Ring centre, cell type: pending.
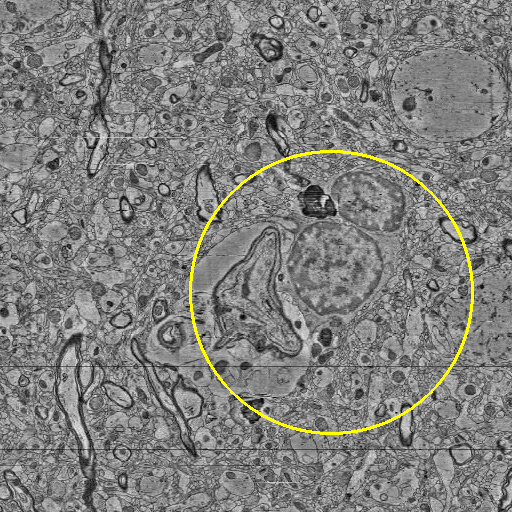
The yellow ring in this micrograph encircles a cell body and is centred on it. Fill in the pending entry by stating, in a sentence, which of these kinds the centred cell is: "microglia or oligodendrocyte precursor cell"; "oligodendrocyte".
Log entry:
The centred cell is recorded as an oligodendrocyte.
